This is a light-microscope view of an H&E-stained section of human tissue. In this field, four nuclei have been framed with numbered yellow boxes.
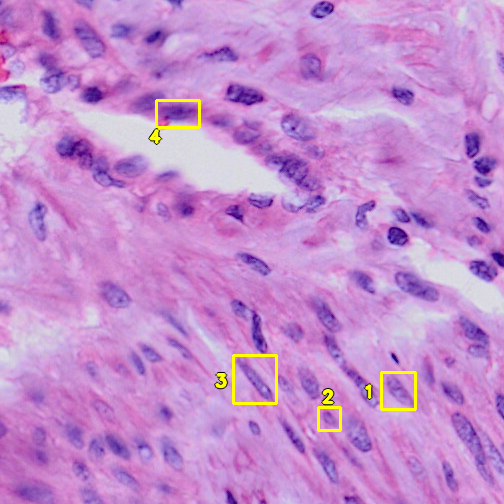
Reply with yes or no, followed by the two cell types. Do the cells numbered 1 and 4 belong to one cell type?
No; cell 1 is a smooth muscle cell, whereas cell 4 is an endothelial cell.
